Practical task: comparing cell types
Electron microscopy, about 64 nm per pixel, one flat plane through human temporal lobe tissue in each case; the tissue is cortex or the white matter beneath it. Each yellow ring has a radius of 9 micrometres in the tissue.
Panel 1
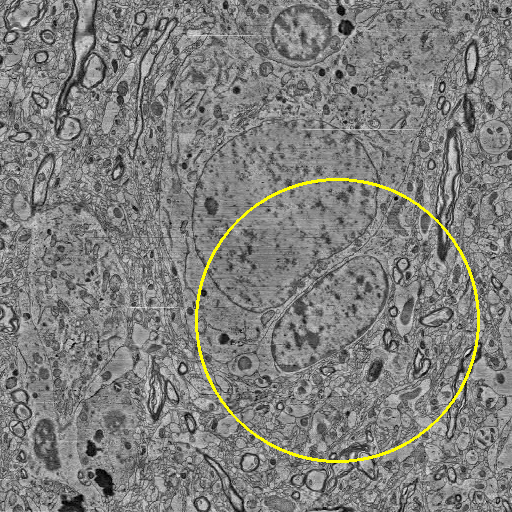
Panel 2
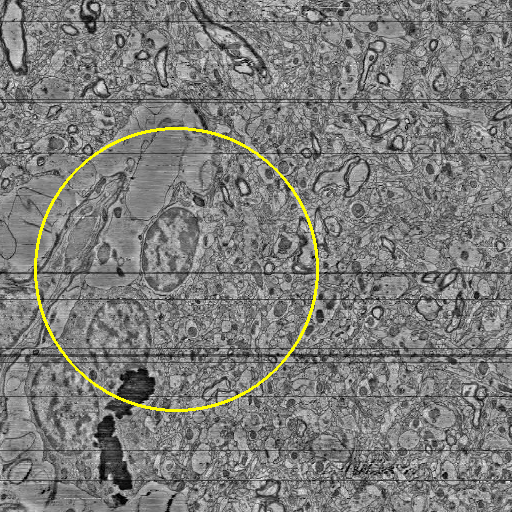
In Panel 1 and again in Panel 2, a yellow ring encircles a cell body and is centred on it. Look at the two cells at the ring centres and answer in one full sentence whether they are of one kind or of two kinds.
The two cells sitting at the ring centres of Panels 1 and 2 are of one kind.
